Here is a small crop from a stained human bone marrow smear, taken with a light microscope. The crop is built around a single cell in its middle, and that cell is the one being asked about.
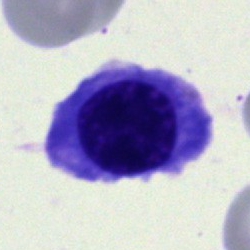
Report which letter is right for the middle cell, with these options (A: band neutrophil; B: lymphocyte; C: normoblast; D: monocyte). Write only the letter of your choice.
C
